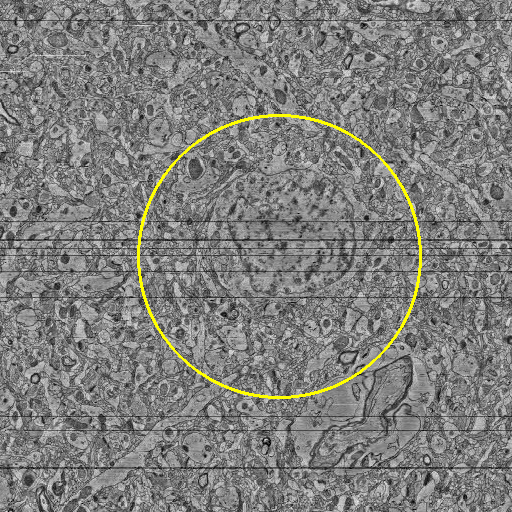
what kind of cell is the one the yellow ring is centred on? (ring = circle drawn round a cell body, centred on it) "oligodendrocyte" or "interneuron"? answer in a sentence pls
The ring is drawn around an interneuron.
